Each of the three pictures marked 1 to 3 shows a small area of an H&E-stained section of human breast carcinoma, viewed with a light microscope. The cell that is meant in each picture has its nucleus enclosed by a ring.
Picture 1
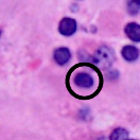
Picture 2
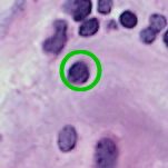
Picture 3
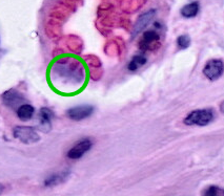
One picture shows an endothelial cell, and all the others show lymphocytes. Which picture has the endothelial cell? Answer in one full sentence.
The picture with the endothelial cell is 3.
